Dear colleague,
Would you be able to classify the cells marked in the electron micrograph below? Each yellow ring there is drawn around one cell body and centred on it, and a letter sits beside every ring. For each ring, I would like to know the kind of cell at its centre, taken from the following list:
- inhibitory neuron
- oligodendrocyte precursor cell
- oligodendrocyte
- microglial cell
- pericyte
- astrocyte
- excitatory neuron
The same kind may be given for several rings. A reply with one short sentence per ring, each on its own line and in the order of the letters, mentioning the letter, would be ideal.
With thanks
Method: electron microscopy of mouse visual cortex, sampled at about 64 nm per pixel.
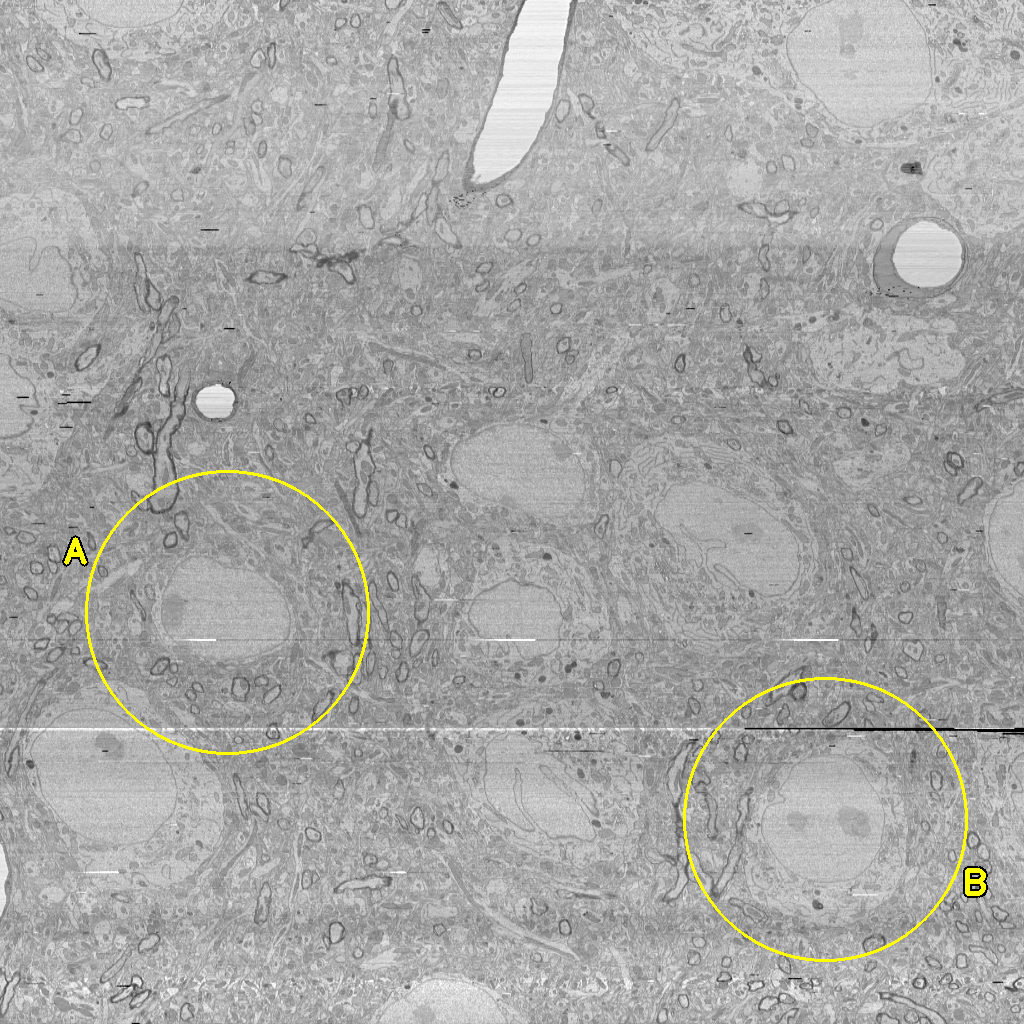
Ring A contains an astrocyte at its centre.
Ring B contains an excitatory neuron at its centre.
